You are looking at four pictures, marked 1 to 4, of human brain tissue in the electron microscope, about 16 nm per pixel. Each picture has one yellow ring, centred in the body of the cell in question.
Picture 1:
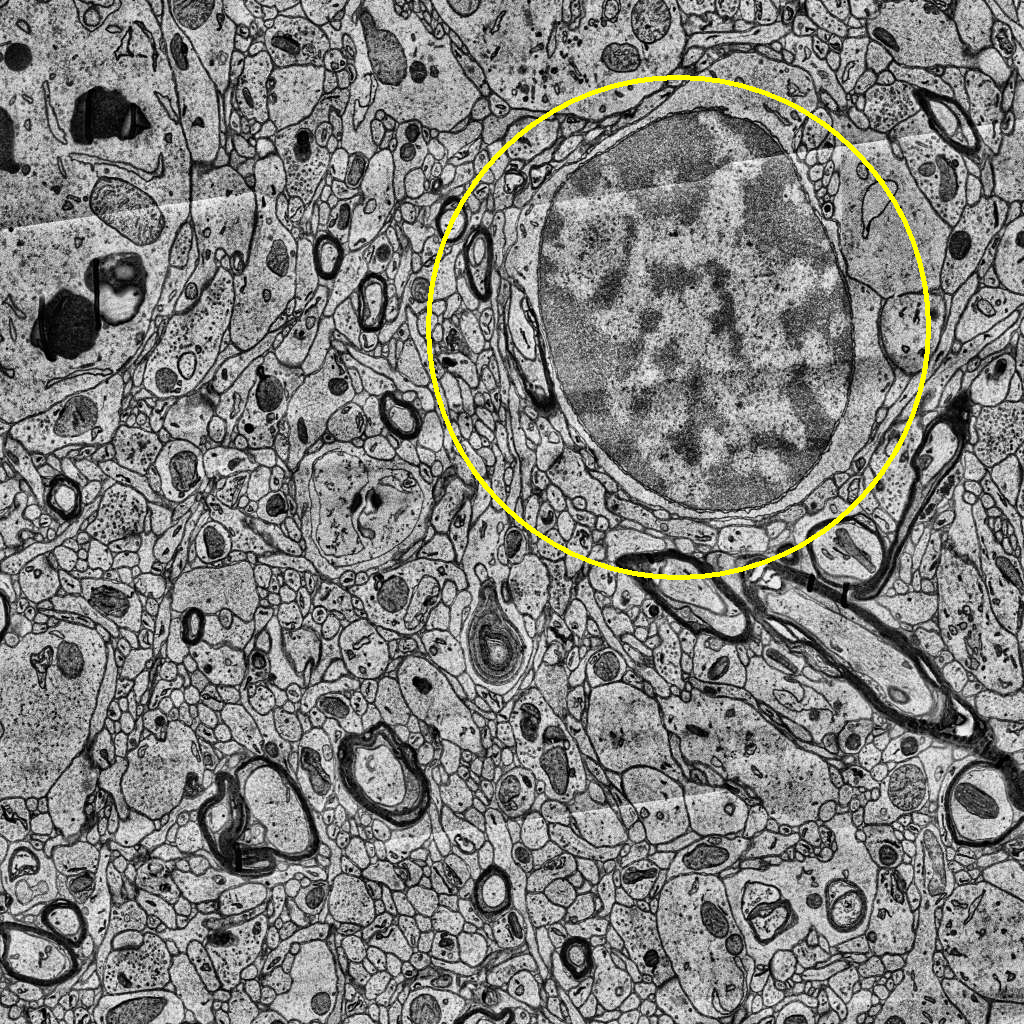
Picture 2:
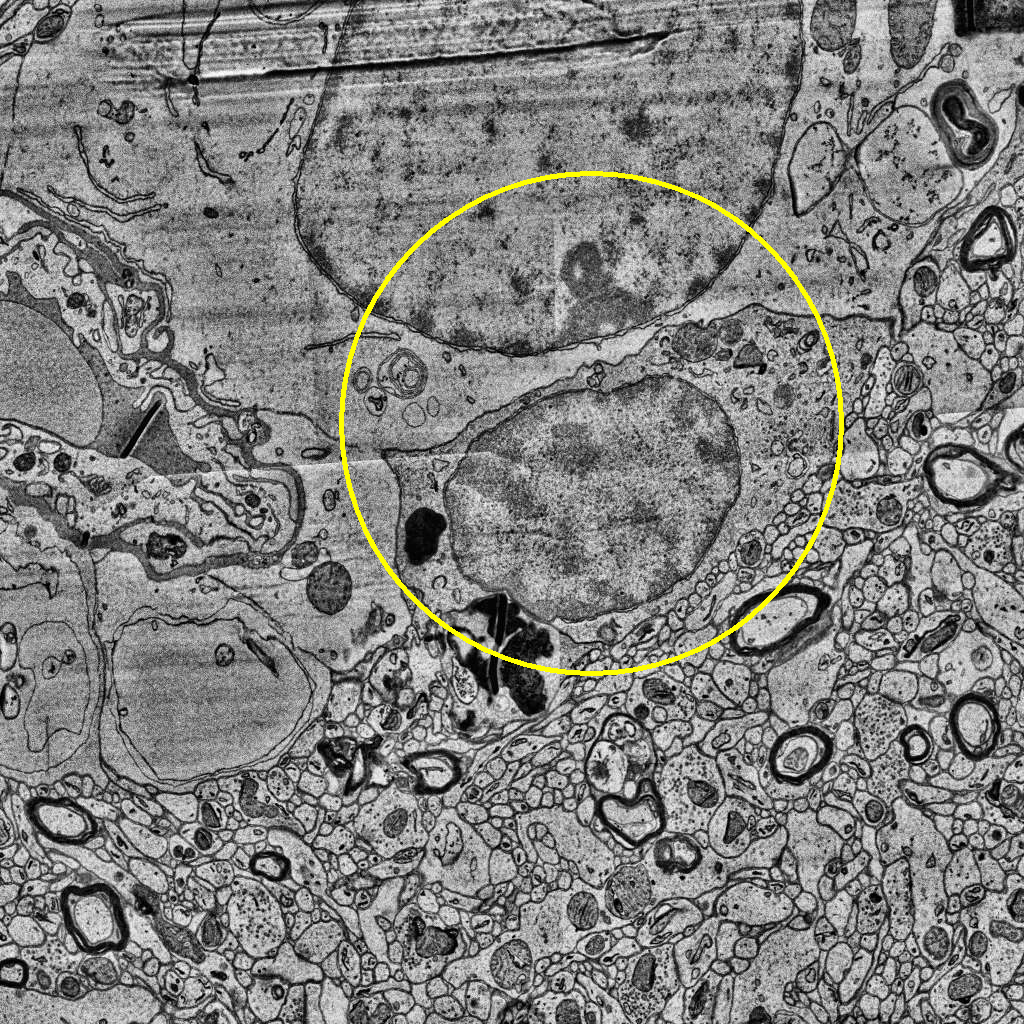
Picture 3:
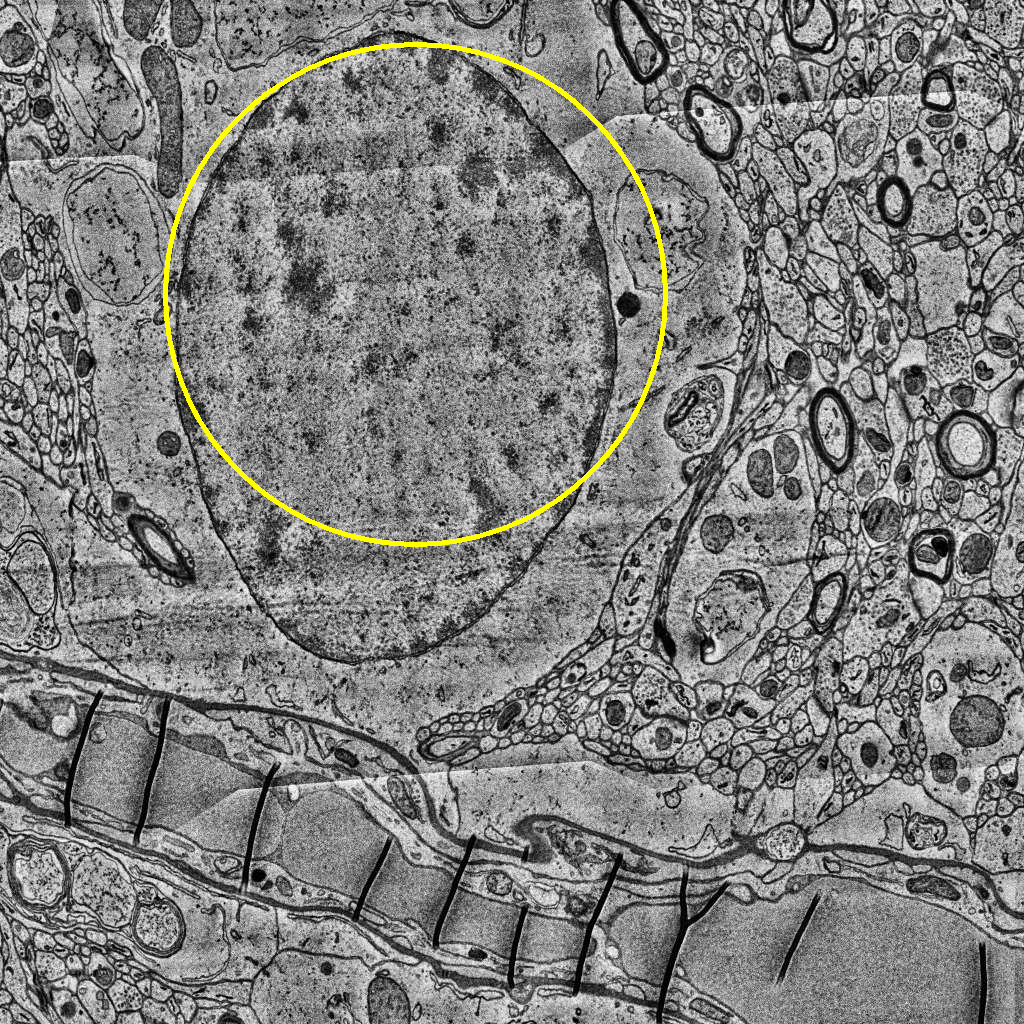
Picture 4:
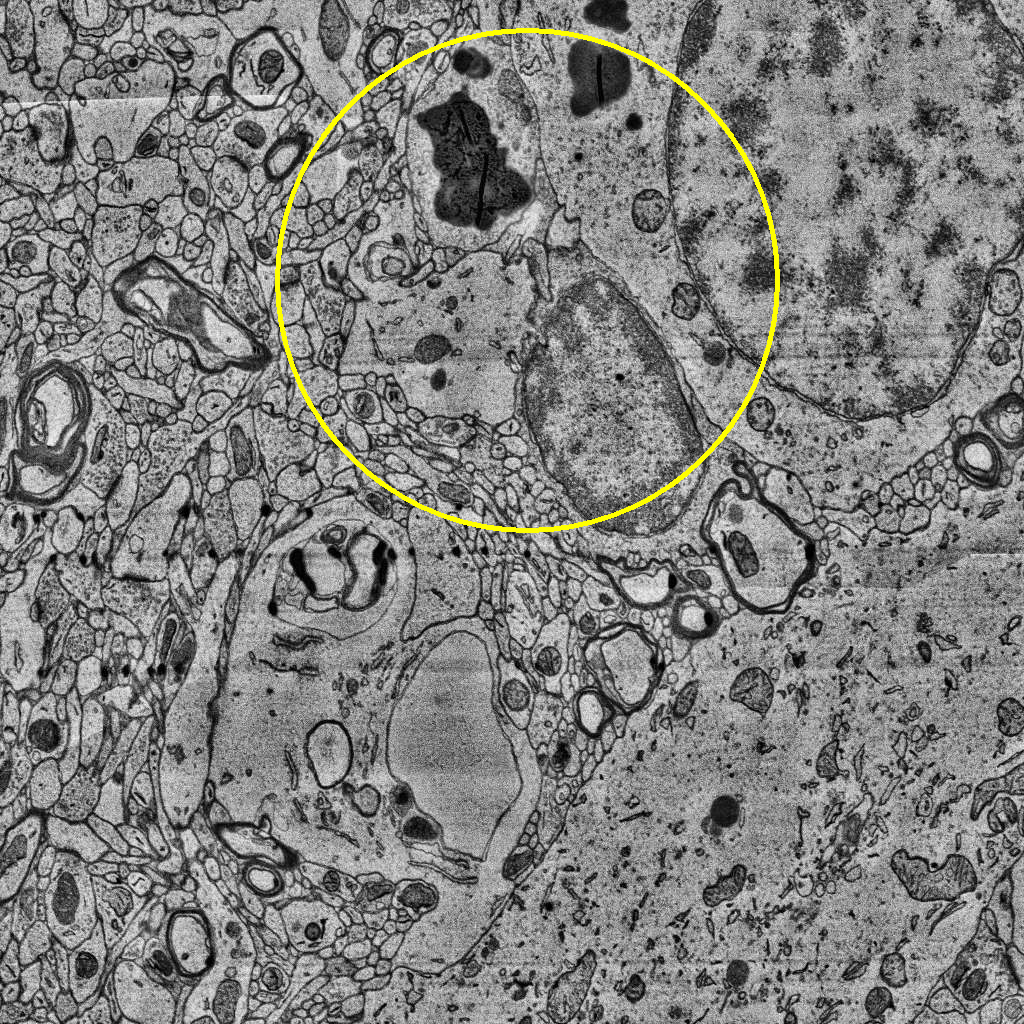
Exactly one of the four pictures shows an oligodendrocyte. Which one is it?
Picture 2 is the one that shows the oligodendrocyte.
